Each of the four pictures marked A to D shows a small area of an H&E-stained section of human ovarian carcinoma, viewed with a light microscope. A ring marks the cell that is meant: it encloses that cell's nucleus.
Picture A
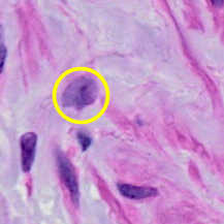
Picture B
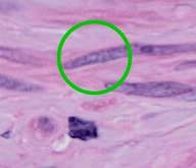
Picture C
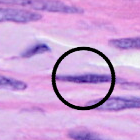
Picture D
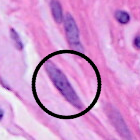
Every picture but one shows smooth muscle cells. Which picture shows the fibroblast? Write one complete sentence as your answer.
The picture with the fibroblast is A.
